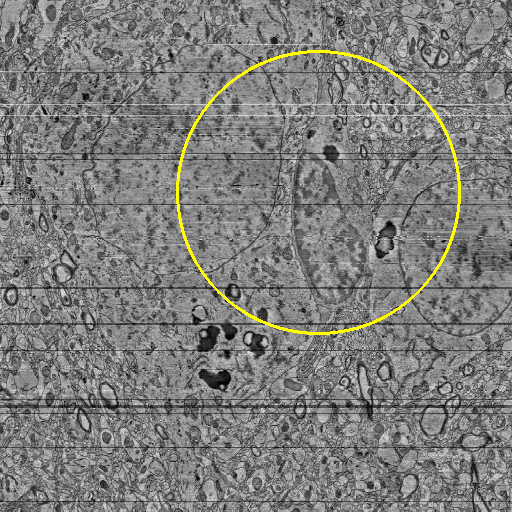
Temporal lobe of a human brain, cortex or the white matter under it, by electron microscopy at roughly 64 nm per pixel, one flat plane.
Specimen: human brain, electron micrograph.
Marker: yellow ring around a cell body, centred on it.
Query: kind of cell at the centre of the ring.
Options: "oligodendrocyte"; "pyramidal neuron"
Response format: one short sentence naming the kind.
This cell body belongs to an oligodendrocyte.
